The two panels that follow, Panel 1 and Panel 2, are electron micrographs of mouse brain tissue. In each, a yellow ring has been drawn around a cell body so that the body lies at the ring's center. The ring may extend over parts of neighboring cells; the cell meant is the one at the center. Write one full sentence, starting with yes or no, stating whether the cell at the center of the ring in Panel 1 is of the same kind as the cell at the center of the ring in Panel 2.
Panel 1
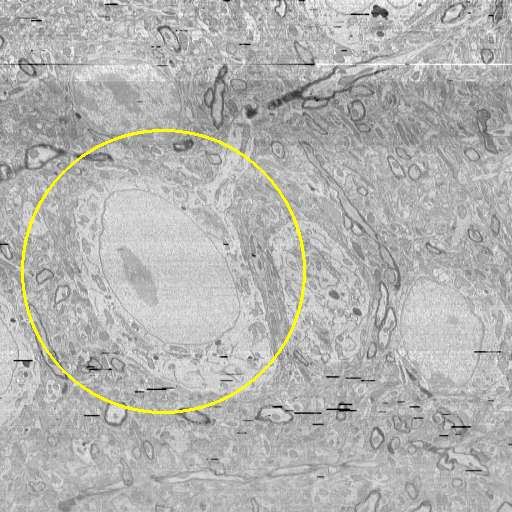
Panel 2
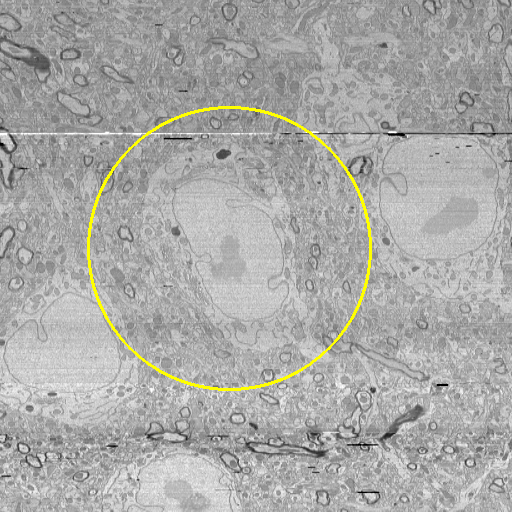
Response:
Yes, the cells in both panels are of the same kind.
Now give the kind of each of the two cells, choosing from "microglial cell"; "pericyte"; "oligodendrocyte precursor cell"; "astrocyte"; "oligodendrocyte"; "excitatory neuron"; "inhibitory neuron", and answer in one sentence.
The cell at the ring centre is an excitatory neuron in both pictures.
